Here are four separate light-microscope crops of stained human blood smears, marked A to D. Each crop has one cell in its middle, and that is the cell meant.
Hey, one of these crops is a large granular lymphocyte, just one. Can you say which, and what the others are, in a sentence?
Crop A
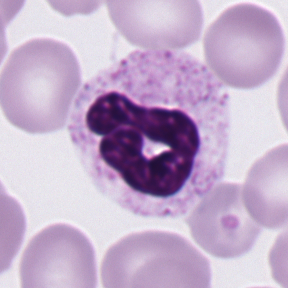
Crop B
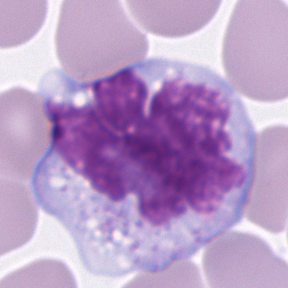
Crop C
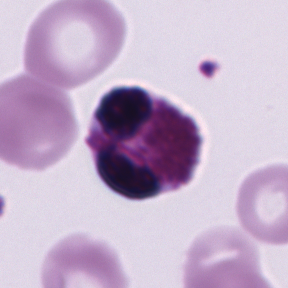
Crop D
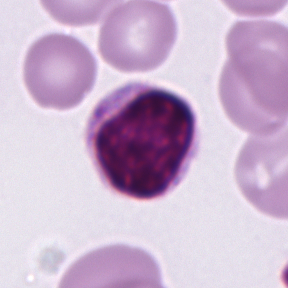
Crop D holds a large granular lymphocyte at its centre, while crop A is a segmented neutrophil, crop B is a monocyte and crop C is an eosinophil.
